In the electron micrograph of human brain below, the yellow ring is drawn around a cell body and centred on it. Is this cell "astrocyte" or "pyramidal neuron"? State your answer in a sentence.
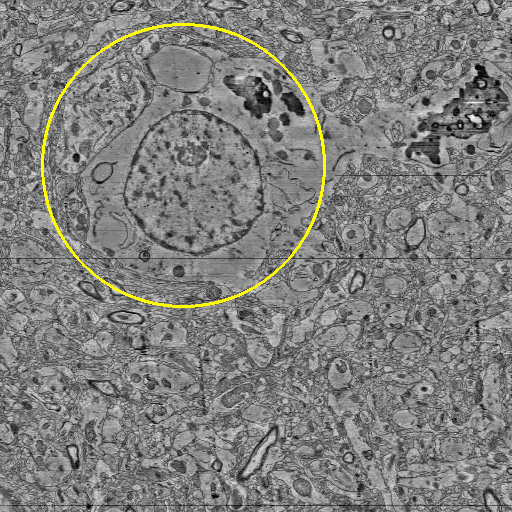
The cell in the middle of the ring is an astrocyte.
